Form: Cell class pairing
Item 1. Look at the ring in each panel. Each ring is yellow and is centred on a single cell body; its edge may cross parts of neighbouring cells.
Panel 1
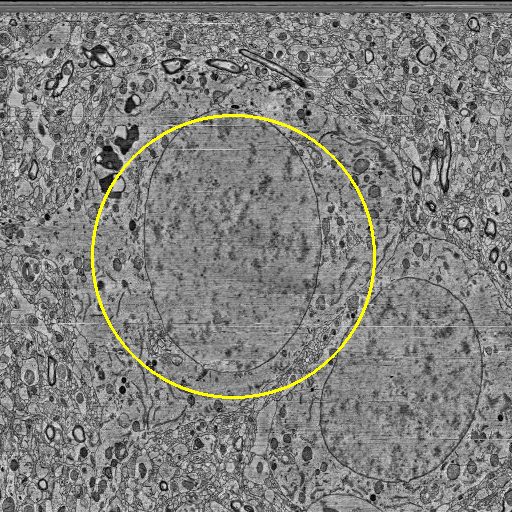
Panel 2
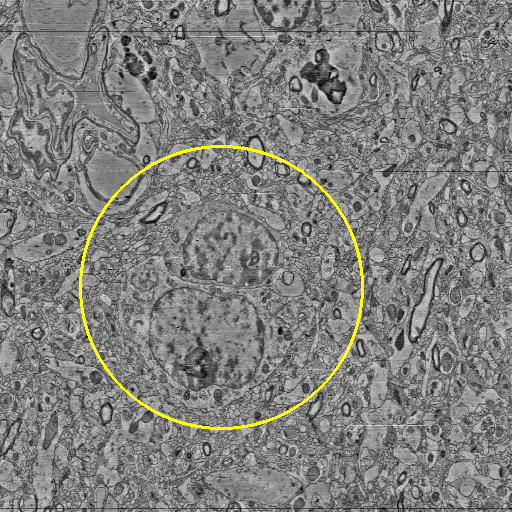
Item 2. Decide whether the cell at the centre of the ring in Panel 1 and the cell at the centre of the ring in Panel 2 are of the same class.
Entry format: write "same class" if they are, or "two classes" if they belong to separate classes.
two classes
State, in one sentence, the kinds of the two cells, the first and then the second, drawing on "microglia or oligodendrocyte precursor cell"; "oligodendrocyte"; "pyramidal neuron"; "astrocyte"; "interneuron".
The ring in the second picture is centred on an oligodendrocyte, the ring in the first on a pyramidal neuron.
